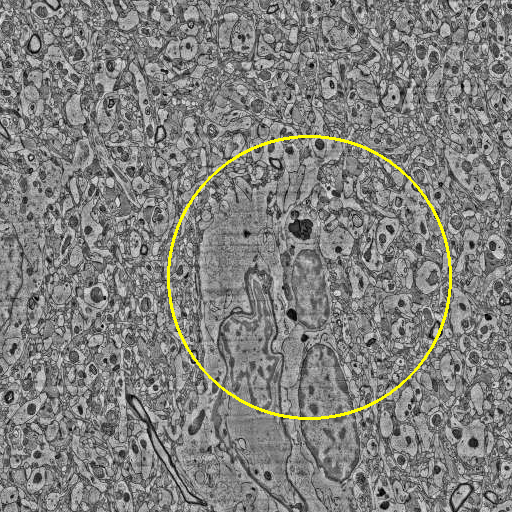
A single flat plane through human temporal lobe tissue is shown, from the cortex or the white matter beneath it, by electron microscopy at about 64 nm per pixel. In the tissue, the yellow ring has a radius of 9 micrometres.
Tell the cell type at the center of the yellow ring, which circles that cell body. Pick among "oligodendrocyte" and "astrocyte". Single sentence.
The ring is centered on the body of an oligodendrocyte.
